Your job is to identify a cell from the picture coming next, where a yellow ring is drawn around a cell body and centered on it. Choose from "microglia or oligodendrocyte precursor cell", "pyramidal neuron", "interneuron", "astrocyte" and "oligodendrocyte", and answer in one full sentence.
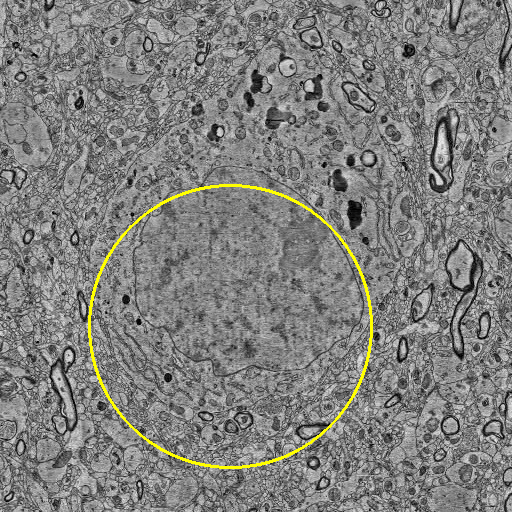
Centered in the yellow ring of the picture is the body of a pyramidal neuron.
